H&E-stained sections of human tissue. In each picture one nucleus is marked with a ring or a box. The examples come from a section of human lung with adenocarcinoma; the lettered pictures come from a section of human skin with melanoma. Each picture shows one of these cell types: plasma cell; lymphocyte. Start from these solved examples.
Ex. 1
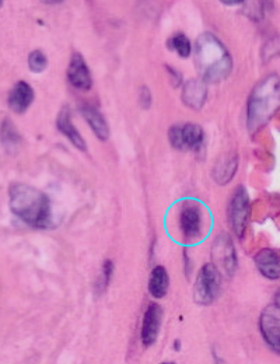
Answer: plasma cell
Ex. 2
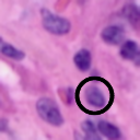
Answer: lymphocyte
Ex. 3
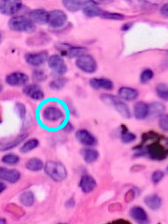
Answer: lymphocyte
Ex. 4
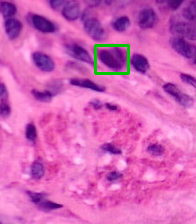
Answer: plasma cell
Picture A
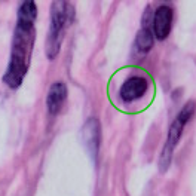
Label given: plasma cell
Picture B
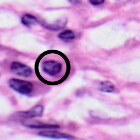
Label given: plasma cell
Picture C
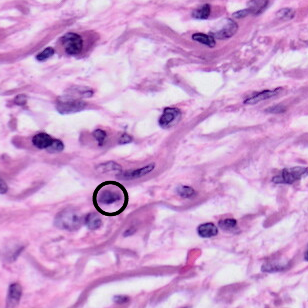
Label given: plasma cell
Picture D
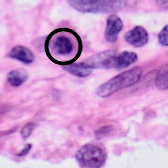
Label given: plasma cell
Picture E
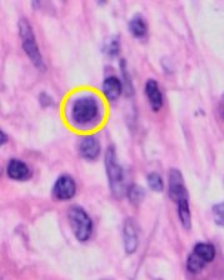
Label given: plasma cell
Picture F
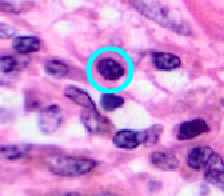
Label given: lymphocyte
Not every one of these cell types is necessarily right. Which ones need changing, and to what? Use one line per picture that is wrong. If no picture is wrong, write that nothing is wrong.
F: change lymphocyte to plasma cell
